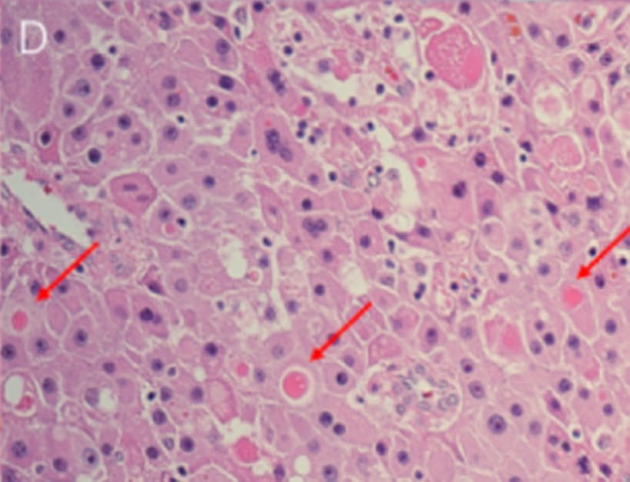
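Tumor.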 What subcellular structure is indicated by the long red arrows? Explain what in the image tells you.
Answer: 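Intracellular hyaline globules. Round, dense, bright pink droplets lie within the cytoplasm of large cells. Some droplets are surrounded by a clear halo.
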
